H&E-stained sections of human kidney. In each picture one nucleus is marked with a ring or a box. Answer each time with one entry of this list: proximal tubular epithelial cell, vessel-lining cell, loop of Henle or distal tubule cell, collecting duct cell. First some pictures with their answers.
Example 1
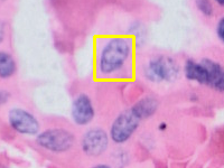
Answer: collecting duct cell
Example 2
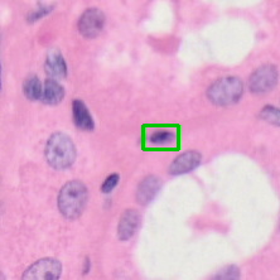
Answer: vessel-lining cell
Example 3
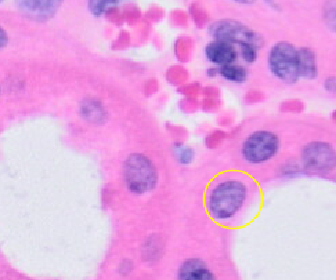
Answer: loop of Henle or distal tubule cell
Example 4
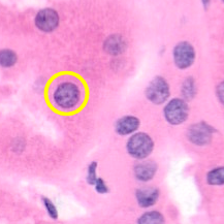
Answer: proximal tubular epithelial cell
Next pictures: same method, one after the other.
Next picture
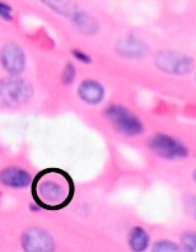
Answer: collecting duct cell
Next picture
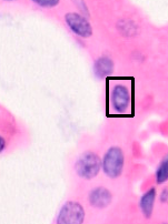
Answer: collecting duct cell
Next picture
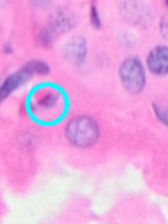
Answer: vessel-lining cell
